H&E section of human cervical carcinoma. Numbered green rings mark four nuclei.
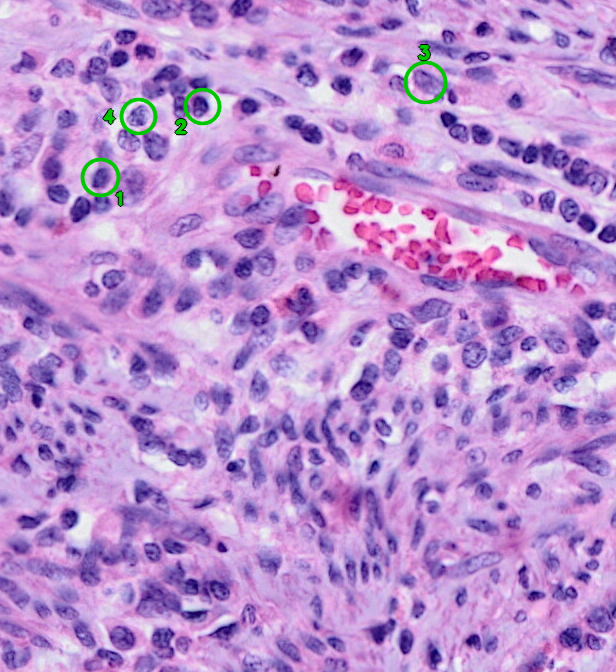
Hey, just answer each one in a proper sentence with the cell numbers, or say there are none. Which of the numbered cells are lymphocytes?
The cells numbered 1, 2 and 4 are of one kind: lymphocytes.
